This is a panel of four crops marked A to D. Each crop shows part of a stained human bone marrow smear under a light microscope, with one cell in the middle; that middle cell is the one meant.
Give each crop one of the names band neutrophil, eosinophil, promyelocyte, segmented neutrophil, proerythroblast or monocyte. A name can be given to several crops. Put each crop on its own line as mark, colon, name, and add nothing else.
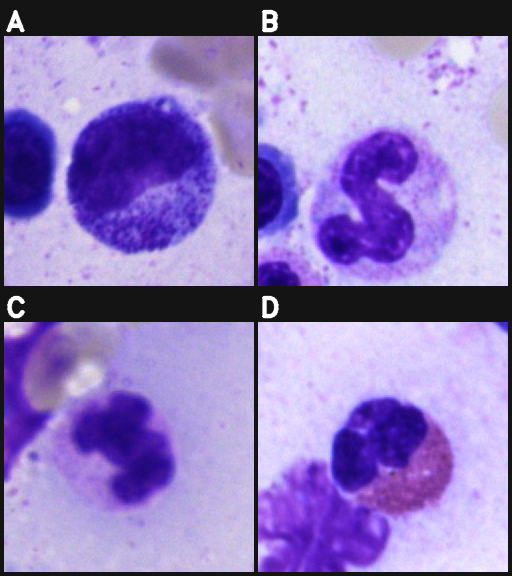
A: promyelocyte
B: segmented neutrophil
C: segmented neutrophil
D: eosinophil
